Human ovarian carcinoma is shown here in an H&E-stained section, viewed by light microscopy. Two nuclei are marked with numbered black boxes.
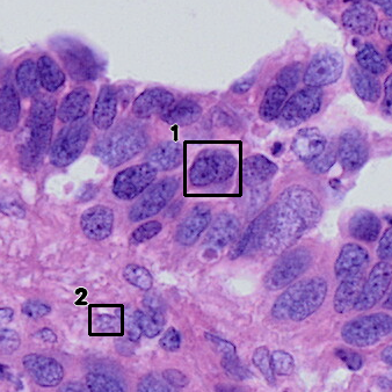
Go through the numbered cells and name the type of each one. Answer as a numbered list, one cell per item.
1. carcinoma cell
2. fibroblast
